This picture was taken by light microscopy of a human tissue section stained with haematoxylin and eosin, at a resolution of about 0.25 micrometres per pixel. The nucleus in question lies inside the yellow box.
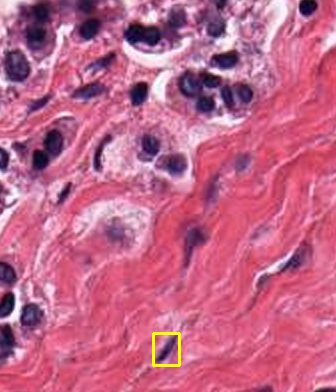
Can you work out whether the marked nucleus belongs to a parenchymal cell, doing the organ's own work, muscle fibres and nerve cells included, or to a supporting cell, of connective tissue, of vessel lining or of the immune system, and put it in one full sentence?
The marked nucleus is seen within a supporting cell.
